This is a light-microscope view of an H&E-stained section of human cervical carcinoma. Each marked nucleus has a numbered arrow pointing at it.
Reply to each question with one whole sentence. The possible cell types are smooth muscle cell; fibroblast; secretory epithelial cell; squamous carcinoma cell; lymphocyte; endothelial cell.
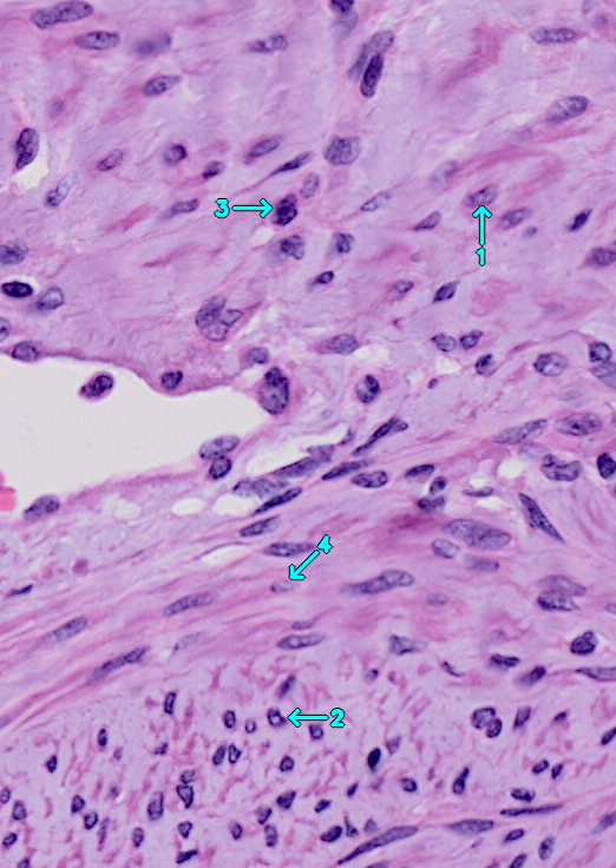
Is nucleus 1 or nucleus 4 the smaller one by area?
Nucleus 4 is the smaller one; nucleus 1 covers about 2 times its area.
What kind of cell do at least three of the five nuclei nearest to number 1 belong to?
The majority of the five nuclei closest to number 1 belong to smooth muscle cells.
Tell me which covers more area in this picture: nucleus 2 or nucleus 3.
Of the two, number 3 is bigger and takes up about 2.5 times the area of number 2.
